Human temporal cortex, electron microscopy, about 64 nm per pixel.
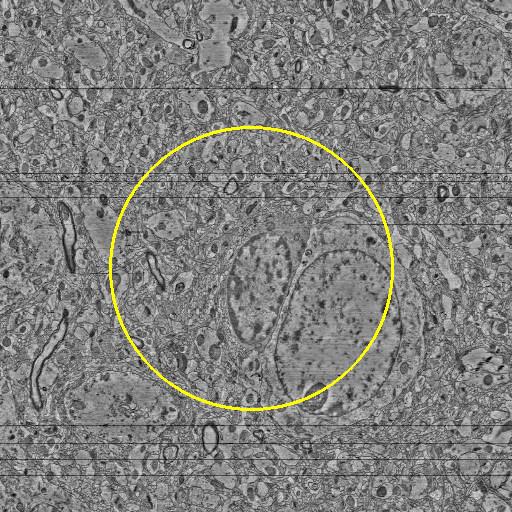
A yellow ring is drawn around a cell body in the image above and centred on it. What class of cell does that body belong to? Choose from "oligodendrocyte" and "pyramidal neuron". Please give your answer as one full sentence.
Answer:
The yellow ring above is centred on the cell body of an oligodendrocyte.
